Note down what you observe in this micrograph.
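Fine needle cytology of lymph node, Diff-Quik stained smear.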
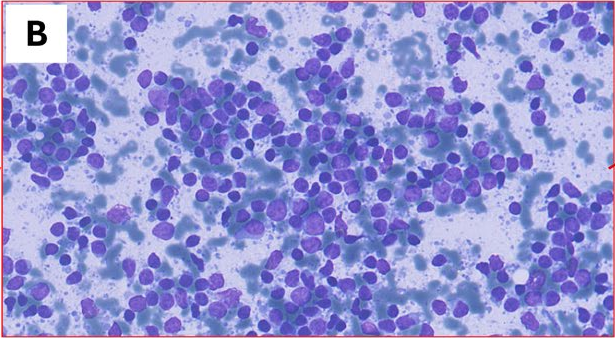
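The cells are round, with dense purple nuclei and scant cytoplasm. They lie singly or in loose groups rather than a continuous sheet. Wide spaces of pale background separate them. Irregular grey-blue patches of background material lie between the cells, and an occasional slightly larger cell with a paler nucleus is present.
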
